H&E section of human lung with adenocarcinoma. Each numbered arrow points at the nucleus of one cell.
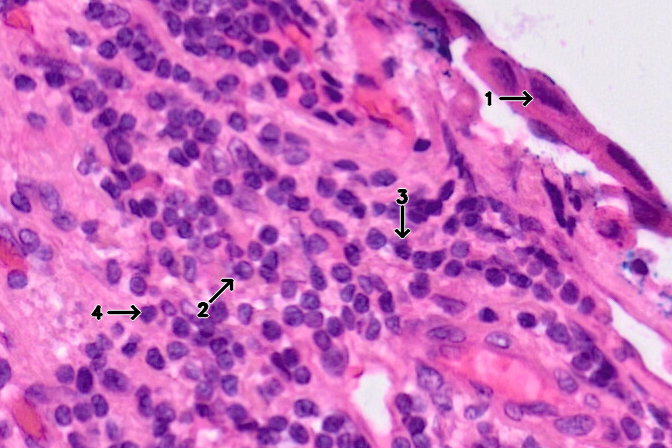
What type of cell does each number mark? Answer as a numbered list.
1. carcinoma cell
2. lymphocyte
3. lymphocyte
4. lymphocyte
